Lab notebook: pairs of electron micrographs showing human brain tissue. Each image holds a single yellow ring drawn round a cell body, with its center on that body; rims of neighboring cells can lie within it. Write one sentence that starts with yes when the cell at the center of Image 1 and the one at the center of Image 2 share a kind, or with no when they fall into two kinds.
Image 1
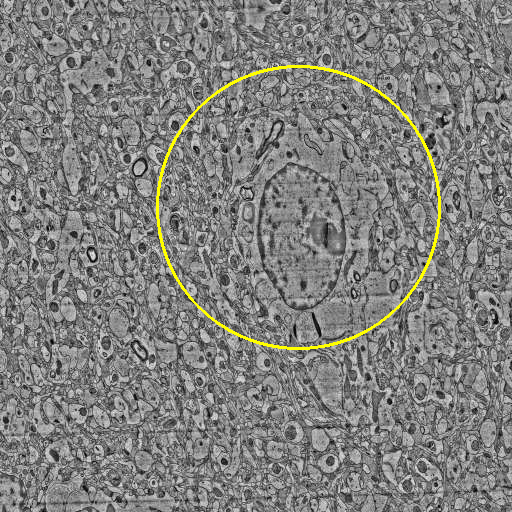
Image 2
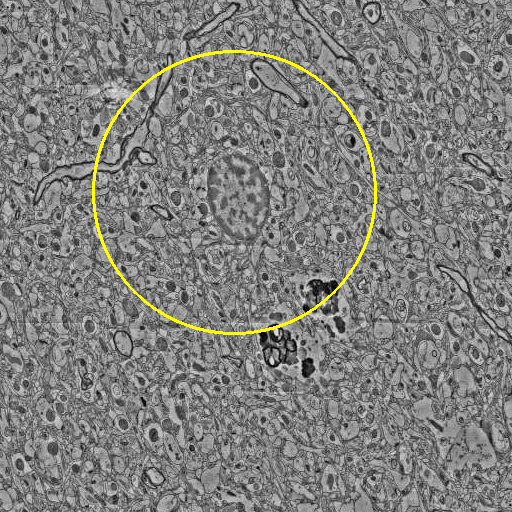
No, the centered cell in Image 1 and the centered cell in Image 2 are of two kinds.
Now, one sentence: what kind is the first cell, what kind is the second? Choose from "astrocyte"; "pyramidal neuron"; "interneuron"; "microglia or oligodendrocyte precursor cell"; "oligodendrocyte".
The first picture has an astrocyte at its ring centre, and the second has an oligodendrocyte.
